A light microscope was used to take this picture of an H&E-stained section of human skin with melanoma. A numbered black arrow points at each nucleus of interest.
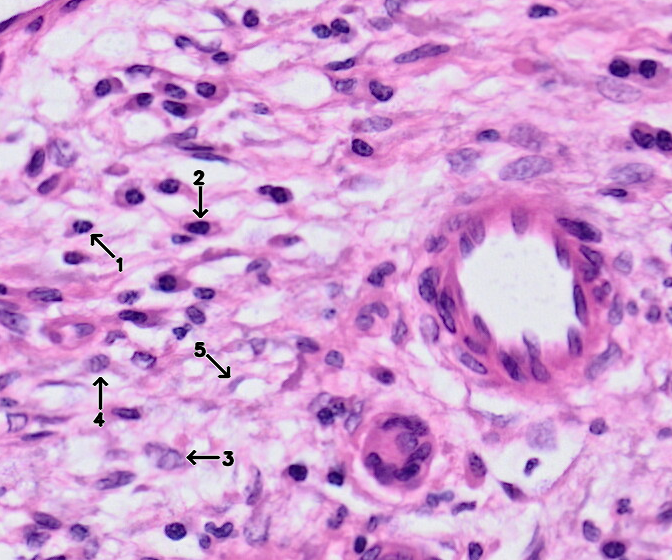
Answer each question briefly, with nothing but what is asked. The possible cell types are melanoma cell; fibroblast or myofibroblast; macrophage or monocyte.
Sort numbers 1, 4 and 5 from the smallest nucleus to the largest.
5, 1, 4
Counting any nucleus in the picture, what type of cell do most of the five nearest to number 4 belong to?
fibroblast or myofibroblast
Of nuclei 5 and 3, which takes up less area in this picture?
5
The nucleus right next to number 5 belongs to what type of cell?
fibroblast or myofibroblast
